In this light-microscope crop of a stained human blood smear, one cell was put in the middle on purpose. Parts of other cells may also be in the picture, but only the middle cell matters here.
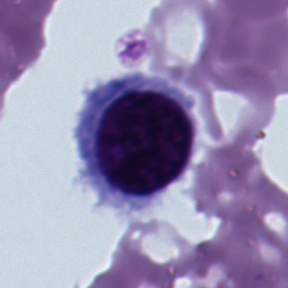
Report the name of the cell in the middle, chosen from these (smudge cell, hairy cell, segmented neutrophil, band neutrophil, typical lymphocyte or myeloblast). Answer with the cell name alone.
hairy cell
